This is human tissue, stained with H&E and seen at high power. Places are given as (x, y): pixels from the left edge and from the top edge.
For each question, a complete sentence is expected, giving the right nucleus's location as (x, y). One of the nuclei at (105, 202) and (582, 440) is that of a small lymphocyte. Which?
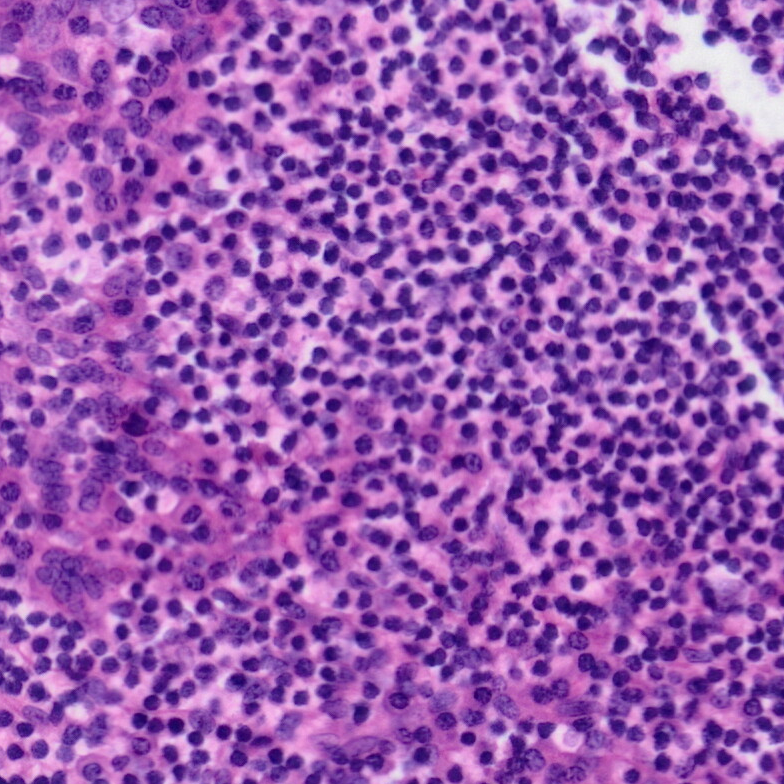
Which one belongs to a small lymphocyte? The nucleus at (582, 440) does.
